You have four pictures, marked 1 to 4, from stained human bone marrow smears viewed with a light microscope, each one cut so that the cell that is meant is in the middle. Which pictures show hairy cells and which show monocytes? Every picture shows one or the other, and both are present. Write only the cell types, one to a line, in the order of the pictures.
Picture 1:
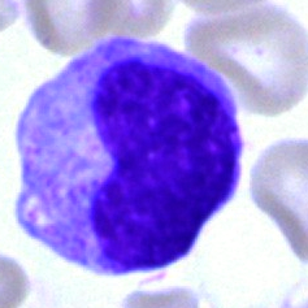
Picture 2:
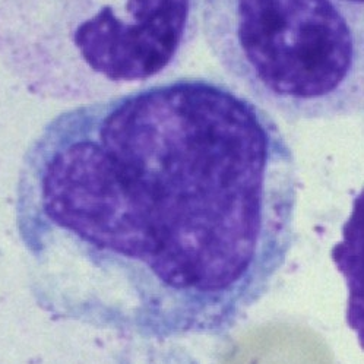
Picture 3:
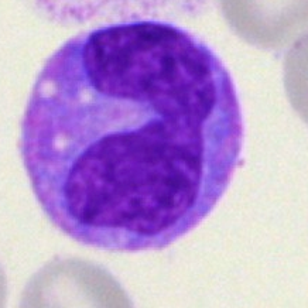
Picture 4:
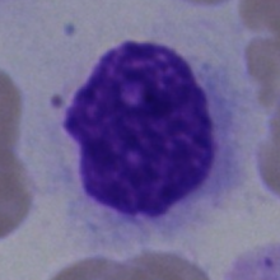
monocyte
monocyte
monocyte
hairy cell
